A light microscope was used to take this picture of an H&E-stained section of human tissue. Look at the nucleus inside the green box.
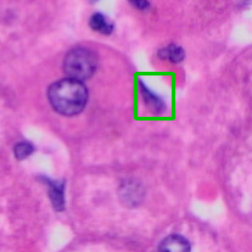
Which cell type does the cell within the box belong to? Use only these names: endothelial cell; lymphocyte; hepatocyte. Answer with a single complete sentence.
It is as an endothelial cell that the cell within the box is recorded.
